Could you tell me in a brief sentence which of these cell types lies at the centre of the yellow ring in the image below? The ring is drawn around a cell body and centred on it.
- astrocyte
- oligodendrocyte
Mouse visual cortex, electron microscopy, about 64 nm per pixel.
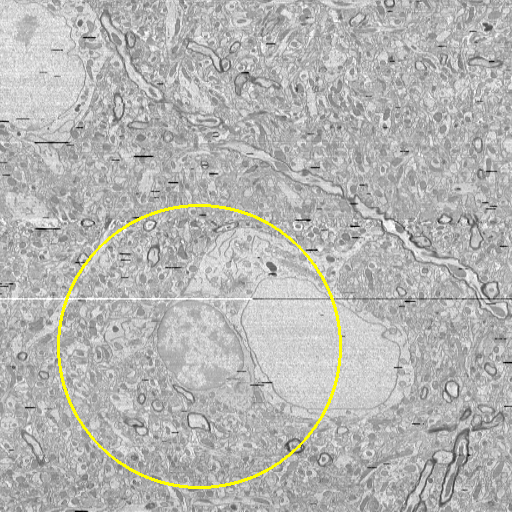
The cell centred in the ring is an oligodendrocyte.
